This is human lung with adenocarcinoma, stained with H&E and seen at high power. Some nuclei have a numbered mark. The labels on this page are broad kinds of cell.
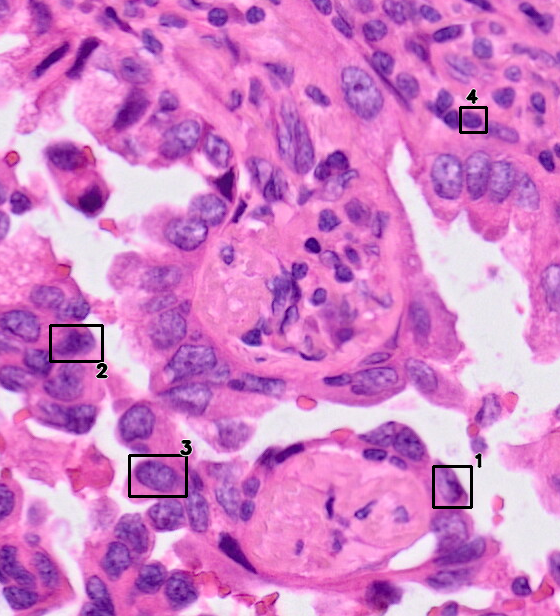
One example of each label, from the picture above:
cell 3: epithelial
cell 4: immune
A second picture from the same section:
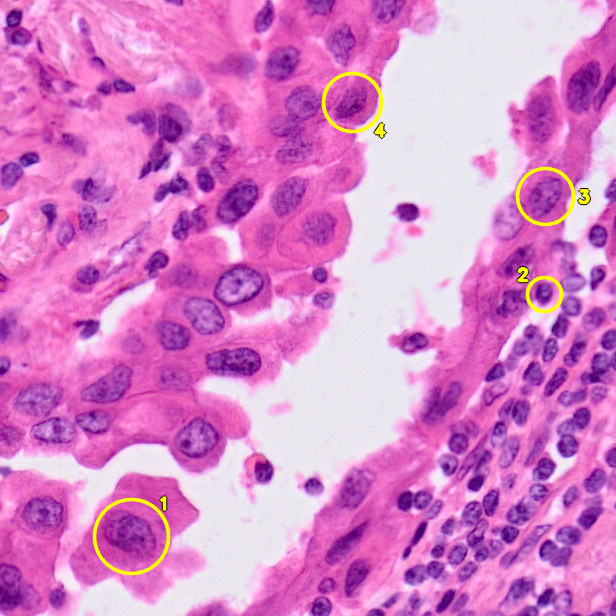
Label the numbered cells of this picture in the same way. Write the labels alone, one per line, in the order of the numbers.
epithelial
immune
epithelial
epithelial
